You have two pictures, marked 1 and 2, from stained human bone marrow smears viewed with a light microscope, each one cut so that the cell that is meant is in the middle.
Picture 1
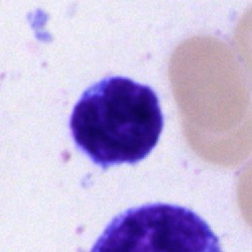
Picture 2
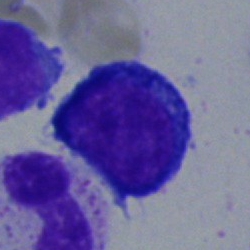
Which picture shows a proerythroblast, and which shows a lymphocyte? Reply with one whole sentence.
Picture 1 shows a lymphocyte and picture 2 shows a proerythroblast.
